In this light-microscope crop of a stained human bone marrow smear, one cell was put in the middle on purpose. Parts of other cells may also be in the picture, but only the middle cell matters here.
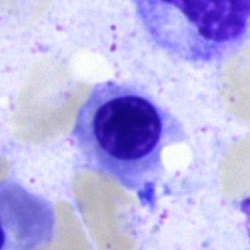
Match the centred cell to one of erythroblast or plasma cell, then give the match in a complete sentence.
In short, the cell at the center is an erythroblast.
